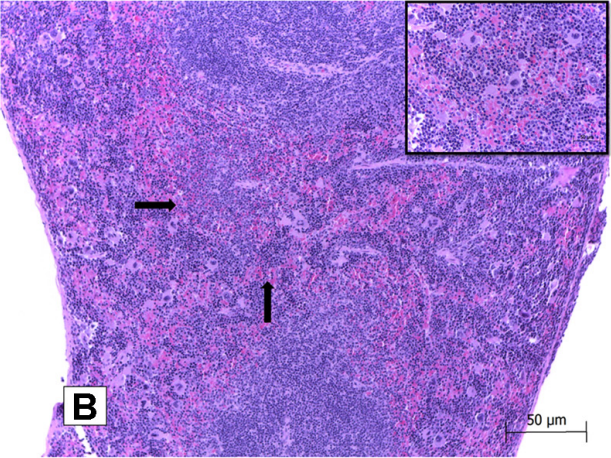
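This section of spleen shows white pulp of small, dark, round lymphoid cells at the top and bottom, with pink, blood-rich red pulp between them. Scattered among these cells are large megakaryocytes with abundant pink cytoplasm and big nuclei.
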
